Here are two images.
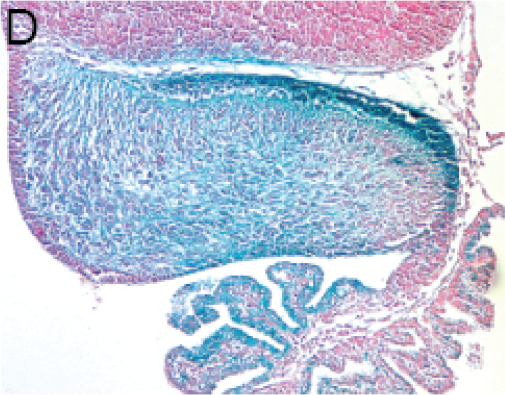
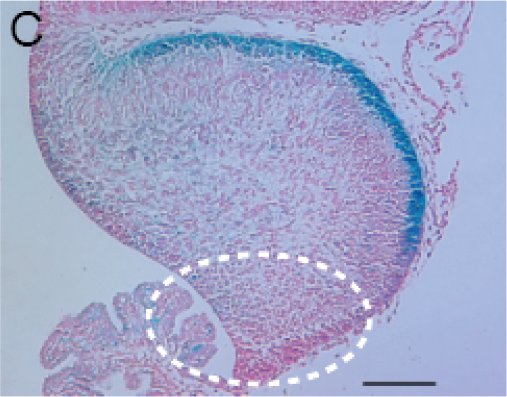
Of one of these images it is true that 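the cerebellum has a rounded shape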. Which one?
The second image.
